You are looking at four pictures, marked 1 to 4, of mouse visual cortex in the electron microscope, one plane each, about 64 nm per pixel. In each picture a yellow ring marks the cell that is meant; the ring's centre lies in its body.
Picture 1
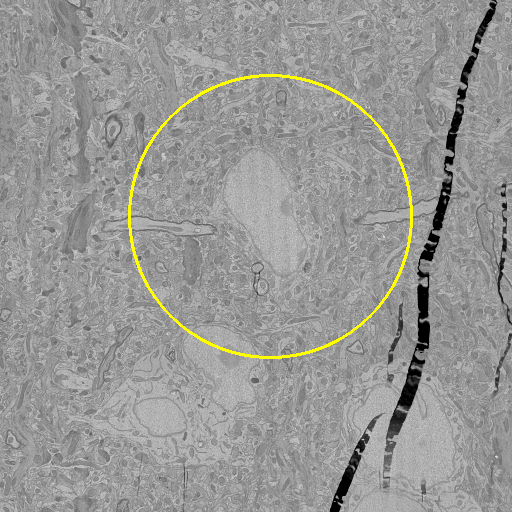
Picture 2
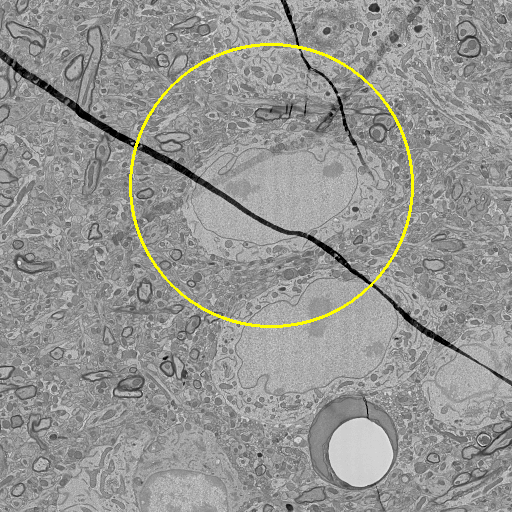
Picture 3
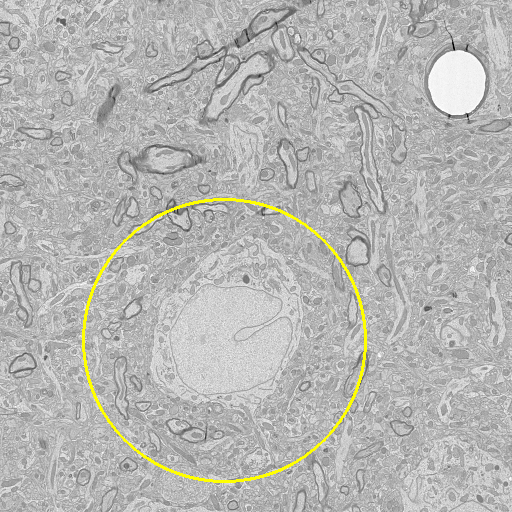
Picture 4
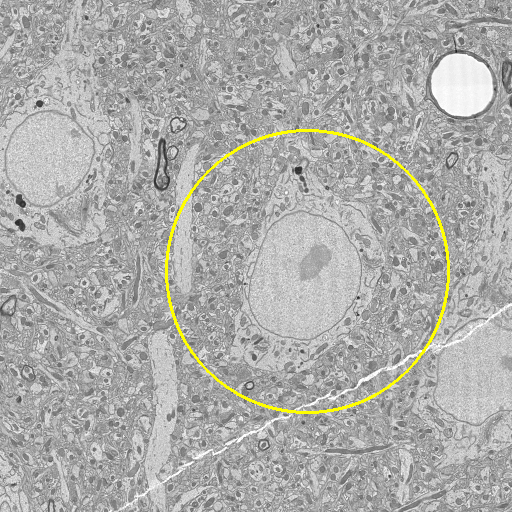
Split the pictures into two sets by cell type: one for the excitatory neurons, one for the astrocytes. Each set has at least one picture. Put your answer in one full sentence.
Pictures 2, 3 and 4 show excitatory neurons, while picture 1 shows an astrocyte.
